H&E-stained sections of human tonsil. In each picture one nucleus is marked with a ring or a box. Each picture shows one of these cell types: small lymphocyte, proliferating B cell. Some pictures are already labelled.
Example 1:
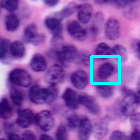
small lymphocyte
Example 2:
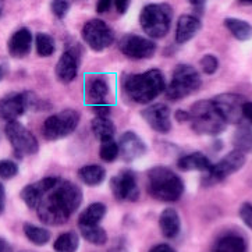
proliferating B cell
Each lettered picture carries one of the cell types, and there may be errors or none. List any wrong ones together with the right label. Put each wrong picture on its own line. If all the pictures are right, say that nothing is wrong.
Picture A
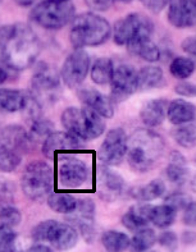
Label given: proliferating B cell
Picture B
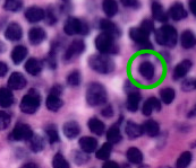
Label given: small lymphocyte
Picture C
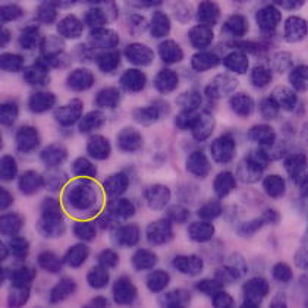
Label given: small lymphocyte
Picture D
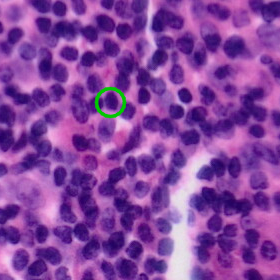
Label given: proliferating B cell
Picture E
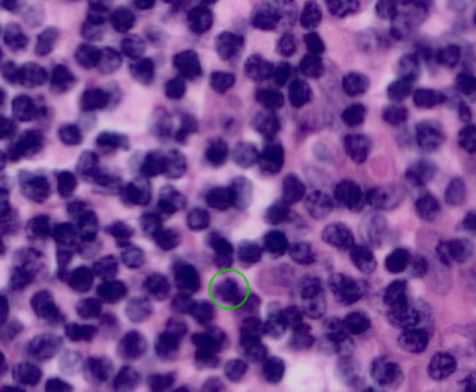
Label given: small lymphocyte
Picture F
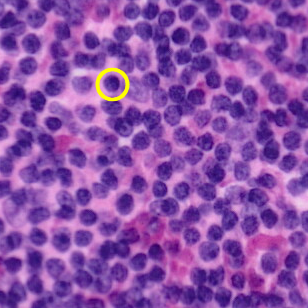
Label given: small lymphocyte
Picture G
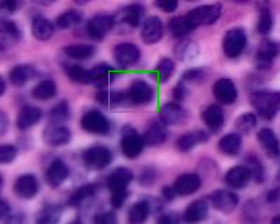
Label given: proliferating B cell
D is labelled proliferating B cell; correct label: small lymphocyte
G is labelled proliferating B cell; correct label: small lymphocyte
